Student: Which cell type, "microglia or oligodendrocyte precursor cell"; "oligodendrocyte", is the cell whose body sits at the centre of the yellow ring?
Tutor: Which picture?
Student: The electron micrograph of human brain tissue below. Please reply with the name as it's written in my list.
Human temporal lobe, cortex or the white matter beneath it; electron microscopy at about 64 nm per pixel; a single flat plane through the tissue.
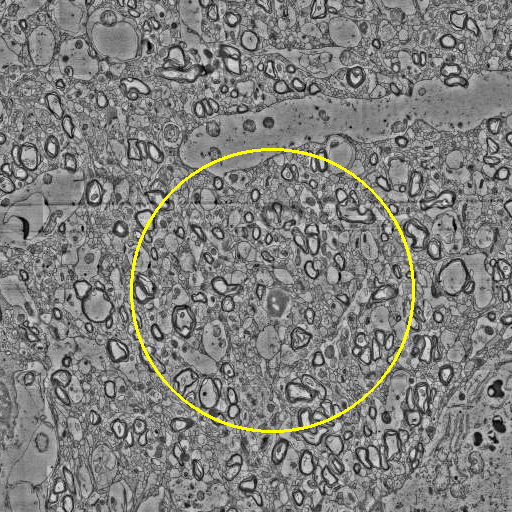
microglia or oligodendrocyte precursor cell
